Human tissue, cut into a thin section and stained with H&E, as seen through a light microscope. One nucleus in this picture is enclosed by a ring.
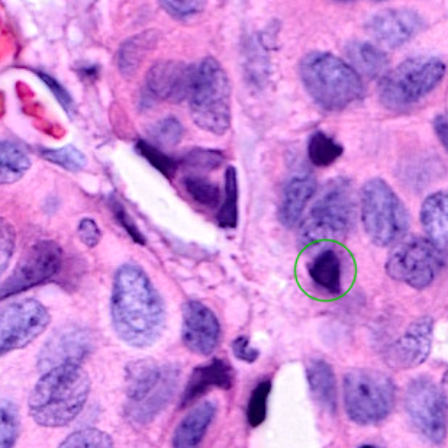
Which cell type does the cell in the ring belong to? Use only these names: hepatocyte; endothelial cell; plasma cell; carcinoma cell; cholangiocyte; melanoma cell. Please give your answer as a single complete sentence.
As for its identity, the cell in the ring is a carcinoma cell.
